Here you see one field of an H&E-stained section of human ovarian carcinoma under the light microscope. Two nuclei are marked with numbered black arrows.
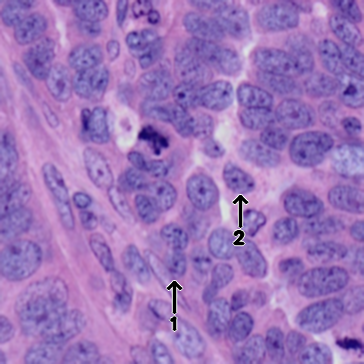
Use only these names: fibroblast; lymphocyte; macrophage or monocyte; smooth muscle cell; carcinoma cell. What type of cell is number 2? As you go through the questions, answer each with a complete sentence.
Marked with the number 2, this cell is a macrophage or monocyte.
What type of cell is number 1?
Within this field of view, the cell labelled 1 is a carcinoma cell.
